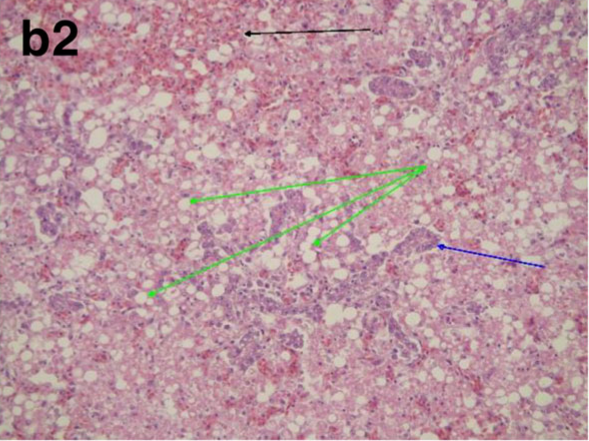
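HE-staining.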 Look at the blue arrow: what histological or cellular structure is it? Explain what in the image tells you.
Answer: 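Biliary duct proliferates. Clusters of small cells with dark purple nuclei. These cells form tubular or ductal profiles scattered through the tissue.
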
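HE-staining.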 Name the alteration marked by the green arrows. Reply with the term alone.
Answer: liver cells with fat vacuoles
